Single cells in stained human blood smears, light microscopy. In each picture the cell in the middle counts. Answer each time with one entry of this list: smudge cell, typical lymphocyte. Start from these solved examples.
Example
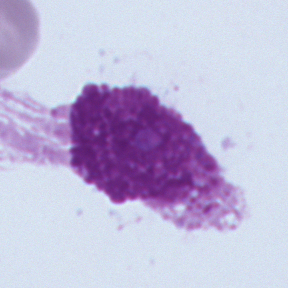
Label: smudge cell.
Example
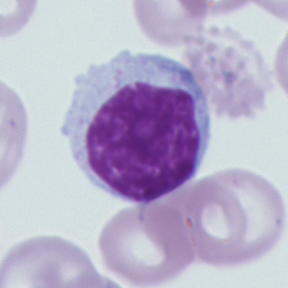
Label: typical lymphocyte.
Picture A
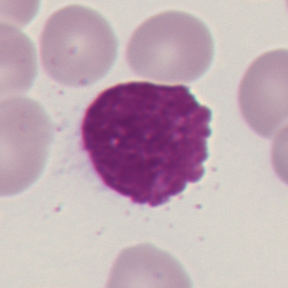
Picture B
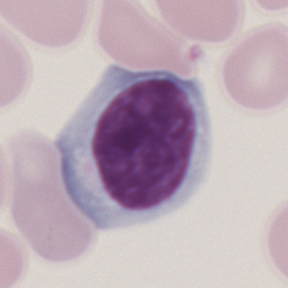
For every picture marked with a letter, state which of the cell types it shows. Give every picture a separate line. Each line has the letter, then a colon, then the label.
A: smudge cell.
B: typical lymphocyte.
